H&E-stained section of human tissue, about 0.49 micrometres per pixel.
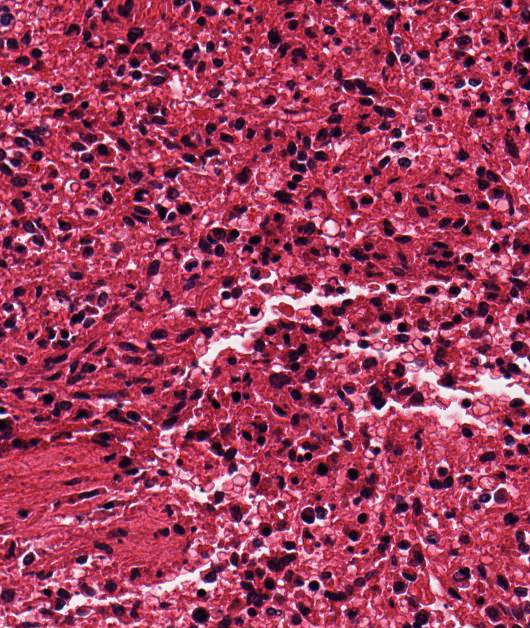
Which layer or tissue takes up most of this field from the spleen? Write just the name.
red pulp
